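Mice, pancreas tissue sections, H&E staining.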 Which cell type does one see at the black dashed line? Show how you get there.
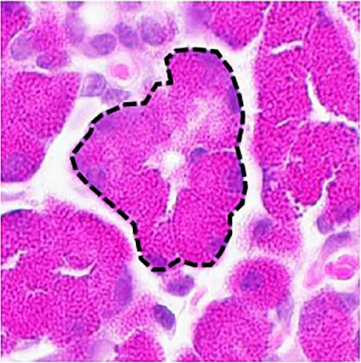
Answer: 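Acinar cells. Pyramidal cells arranged in a rosette around a small central lumen. Cytoplasm densely packed with bright pink granules. Nuclei sit at the outer, basal edge of the cells.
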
